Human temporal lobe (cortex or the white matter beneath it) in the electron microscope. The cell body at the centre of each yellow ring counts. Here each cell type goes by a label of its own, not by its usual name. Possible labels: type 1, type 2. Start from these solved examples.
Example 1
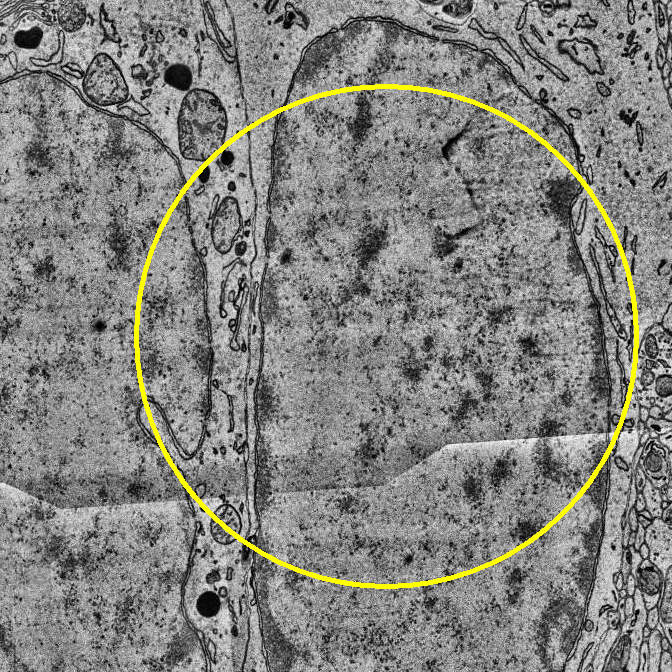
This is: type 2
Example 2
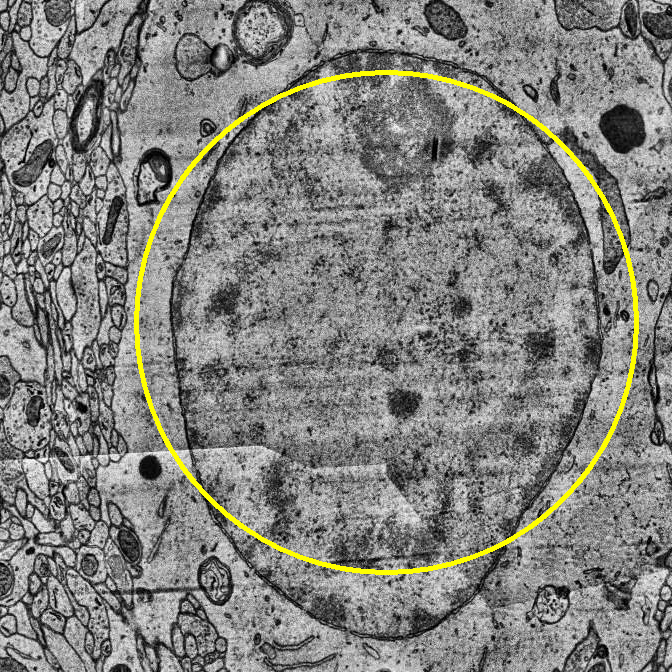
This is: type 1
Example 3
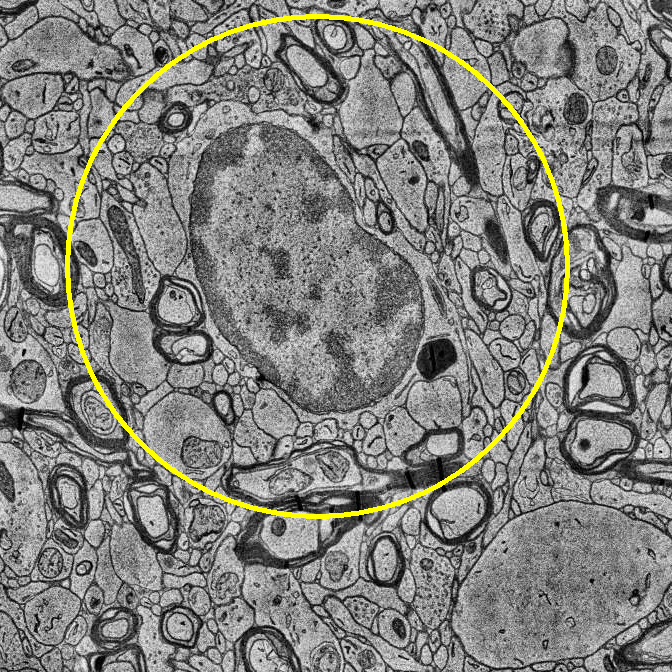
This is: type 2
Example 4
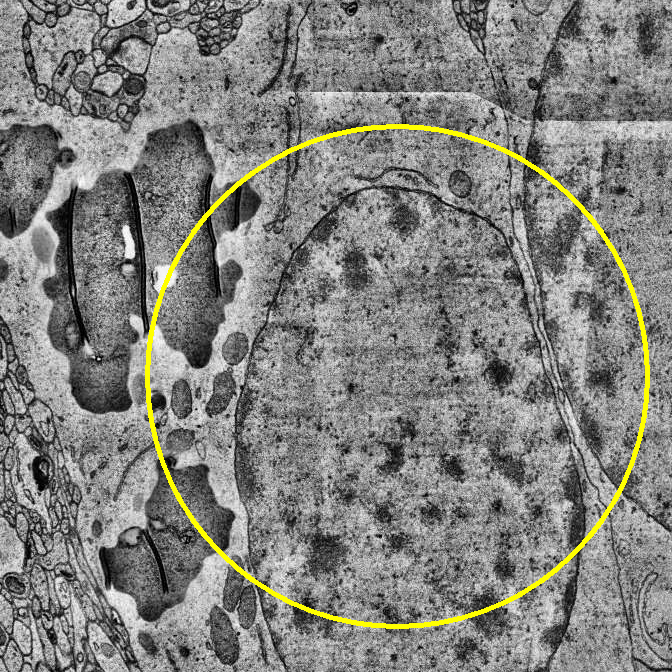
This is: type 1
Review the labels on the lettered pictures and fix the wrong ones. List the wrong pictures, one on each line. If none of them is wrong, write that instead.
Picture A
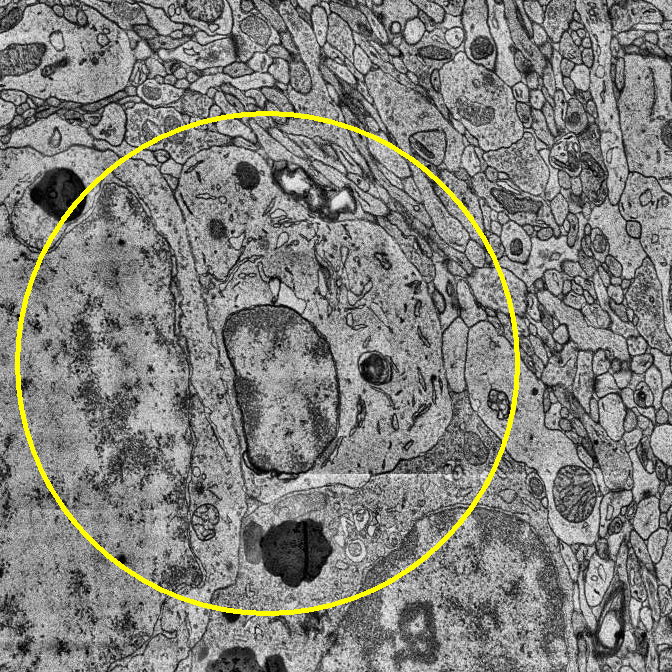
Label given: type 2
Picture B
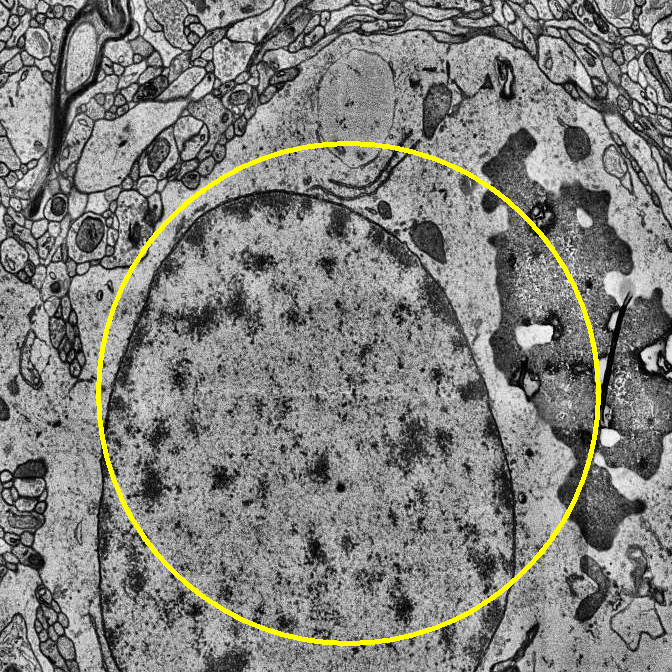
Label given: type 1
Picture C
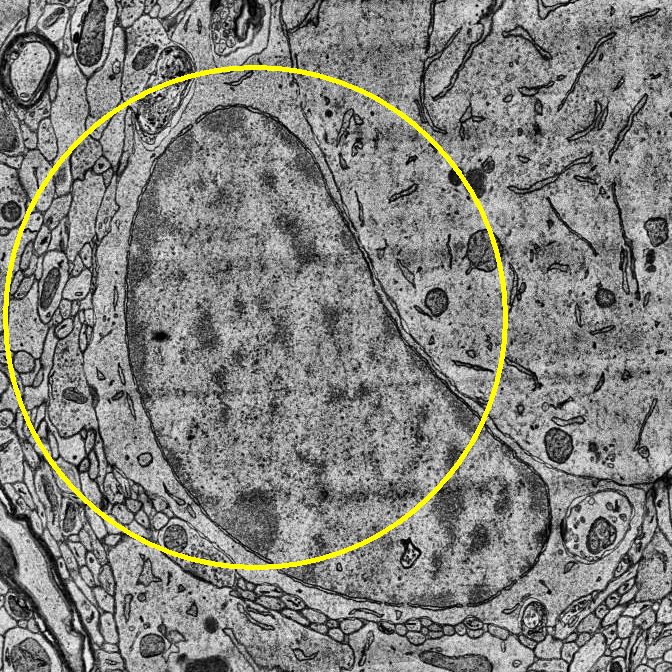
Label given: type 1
C: change type 1 to type 2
